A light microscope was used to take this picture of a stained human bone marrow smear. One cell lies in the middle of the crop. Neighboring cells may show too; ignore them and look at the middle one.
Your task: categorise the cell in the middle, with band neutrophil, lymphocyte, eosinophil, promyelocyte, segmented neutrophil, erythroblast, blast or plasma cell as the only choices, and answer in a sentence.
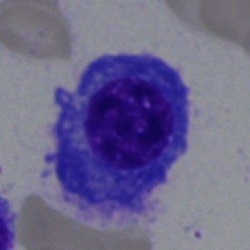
The cell centred in this crop is categorized as a plasma cell.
